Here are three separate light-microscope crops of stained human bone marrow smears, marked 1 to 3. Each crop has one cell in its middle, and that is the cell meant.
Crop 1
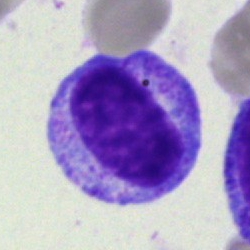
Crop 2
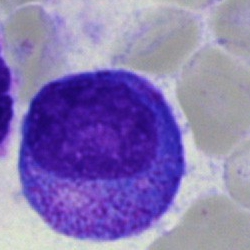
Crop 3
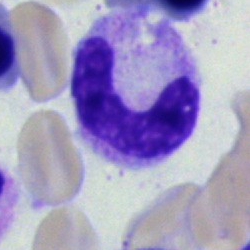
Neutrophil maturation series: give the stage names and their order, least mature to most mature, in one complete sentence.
The stages, ordered from least to most mature, are crop 2 (a promyelocyte), crop 1 (a myelocyte) and crop 3 (a band neutrophil).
